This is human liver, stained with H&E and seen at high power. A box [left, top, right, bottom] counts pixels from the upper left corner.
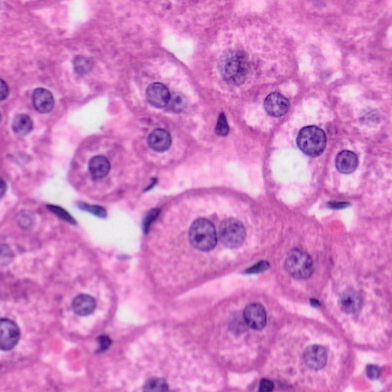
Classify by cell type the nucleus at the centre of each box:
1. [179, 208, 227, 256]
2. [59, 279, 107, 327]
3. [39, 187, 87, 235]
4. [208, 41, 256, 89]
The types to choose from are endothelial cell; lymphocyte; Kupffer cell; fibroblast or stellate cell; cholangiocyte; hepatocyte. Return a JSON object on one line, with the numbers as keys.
{"1": "hepatocyte", "2": "hepatocyte", "3": "endothelial cell", "4": "hepatocyte"}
